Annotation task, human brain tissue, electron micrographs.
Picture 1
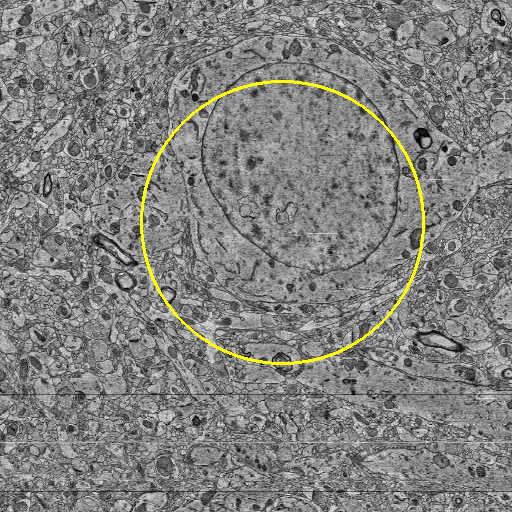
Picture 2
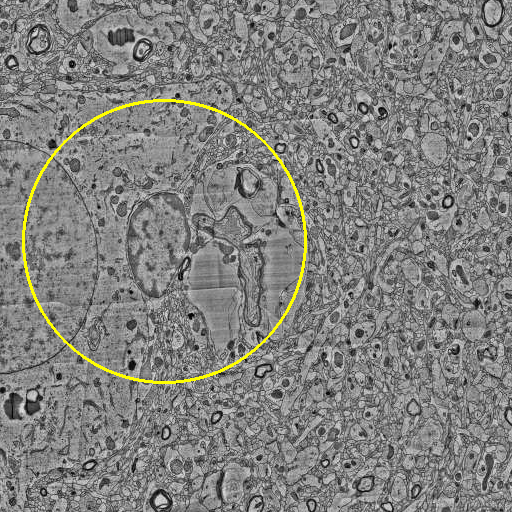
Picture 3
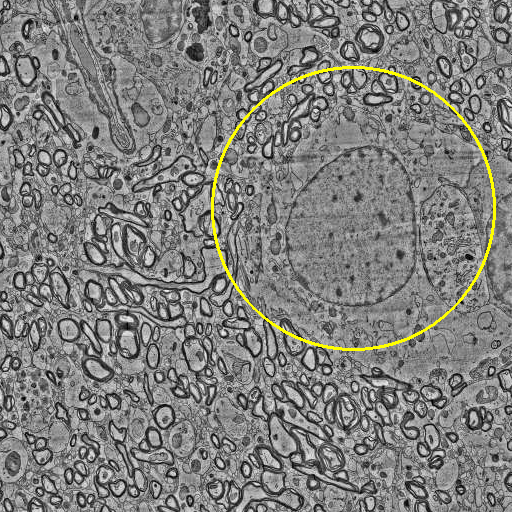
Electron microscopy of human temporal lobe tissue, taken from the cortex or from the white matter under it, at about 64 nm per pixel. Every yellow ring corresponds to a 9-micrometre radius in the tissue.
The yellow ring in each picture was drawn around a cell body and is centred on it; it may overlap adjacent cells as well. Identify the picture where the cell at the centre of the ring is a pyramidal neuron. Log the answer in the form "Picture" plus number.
Picture 1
